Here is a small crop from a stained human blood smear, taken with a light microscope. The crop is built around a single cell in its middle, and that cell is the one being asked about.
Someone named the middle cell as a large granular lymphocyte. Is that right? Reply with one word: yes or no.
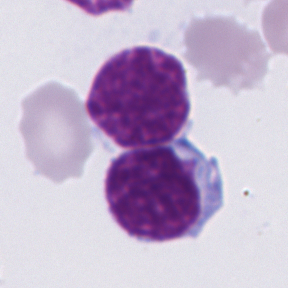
no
